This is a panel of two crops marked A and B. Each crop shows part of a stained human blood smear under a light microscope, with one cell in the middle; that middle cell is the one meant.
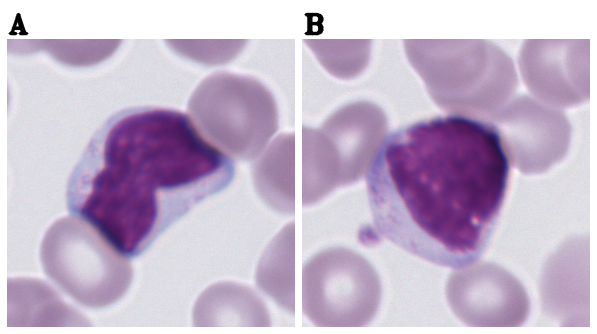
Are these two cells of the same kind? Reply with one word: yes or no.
yes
